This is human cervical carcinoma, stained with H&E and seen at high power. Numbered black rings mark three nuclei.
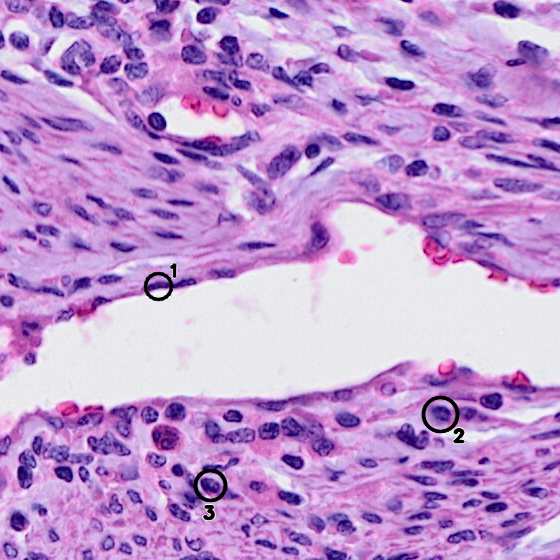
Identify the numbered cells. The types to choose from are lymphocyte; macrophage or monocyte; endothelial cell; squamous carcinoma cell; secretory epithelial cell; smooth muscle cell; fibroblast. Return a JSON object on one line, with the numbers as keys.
{"1": "endothelial cell", "2": "lymphocyte", "3": "lymphocyte"}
